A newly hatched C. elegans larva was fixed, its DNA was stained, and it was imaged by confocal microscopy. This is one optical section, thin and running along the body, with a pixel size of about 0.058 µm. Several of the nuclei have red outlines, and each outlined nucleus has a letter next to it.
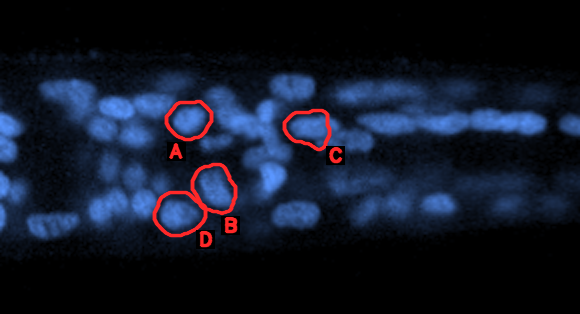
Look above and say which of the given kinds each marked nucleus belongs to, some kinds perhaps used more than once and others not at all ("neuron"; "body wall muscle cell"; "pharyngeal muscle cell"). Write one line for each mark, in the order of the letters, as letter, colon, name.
A: neuron
B: pharyngeal muscle cell
C: neuron
D: neuron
